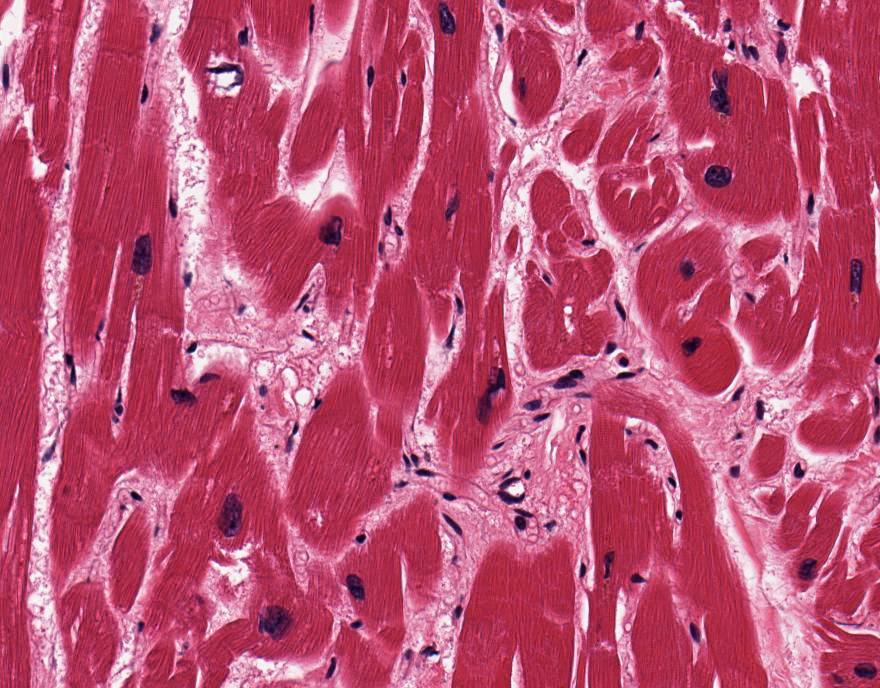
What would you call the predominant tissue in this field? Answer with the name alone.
myocardium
